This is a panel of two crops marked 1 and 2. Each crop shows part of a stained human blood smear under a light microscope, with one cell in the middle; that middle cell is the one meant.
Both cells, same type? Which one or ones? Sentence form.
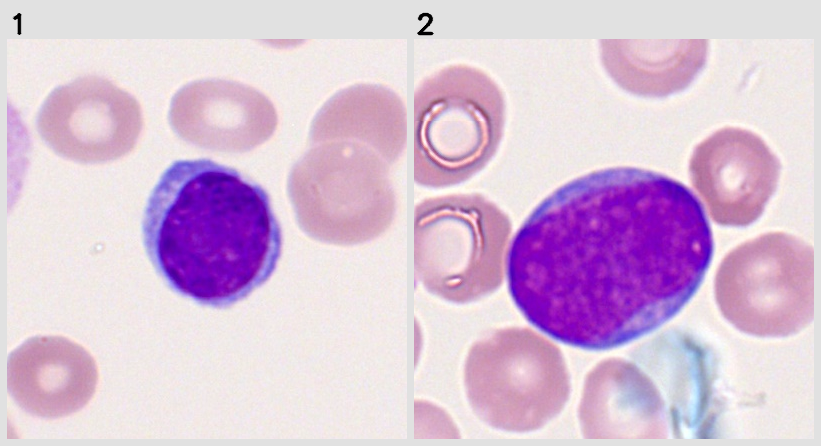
No, the cell at the middle of crop 1 is a lymphocyte, while crop 2 centres on a myeloblast.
